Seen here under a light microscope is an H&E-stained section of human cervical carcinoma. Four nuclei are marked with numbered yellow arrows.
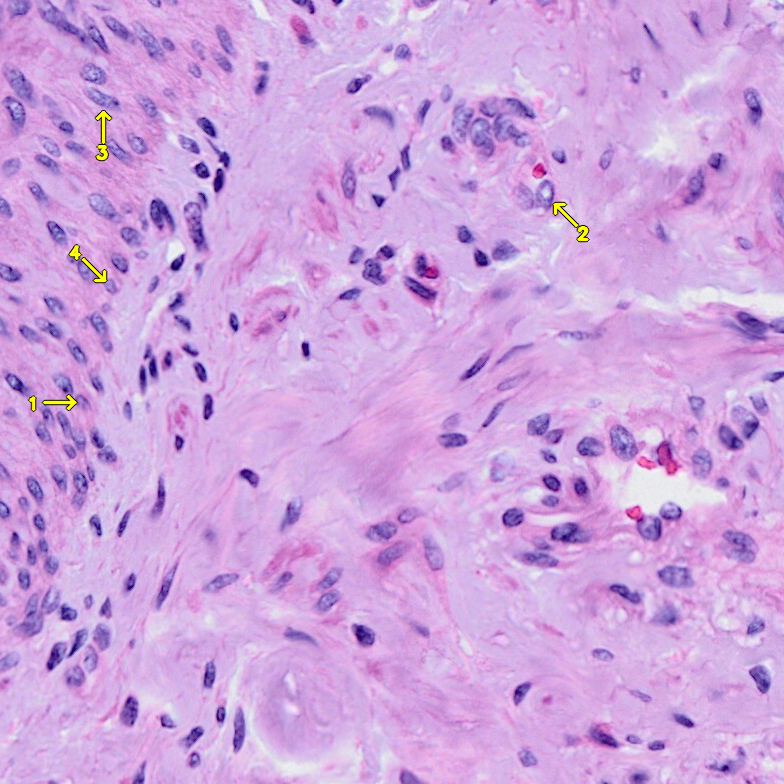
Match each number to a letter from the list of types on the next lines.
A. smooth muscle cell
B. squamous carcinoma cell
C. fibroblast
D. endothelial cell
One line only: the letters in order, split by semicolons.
A; D; A; A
